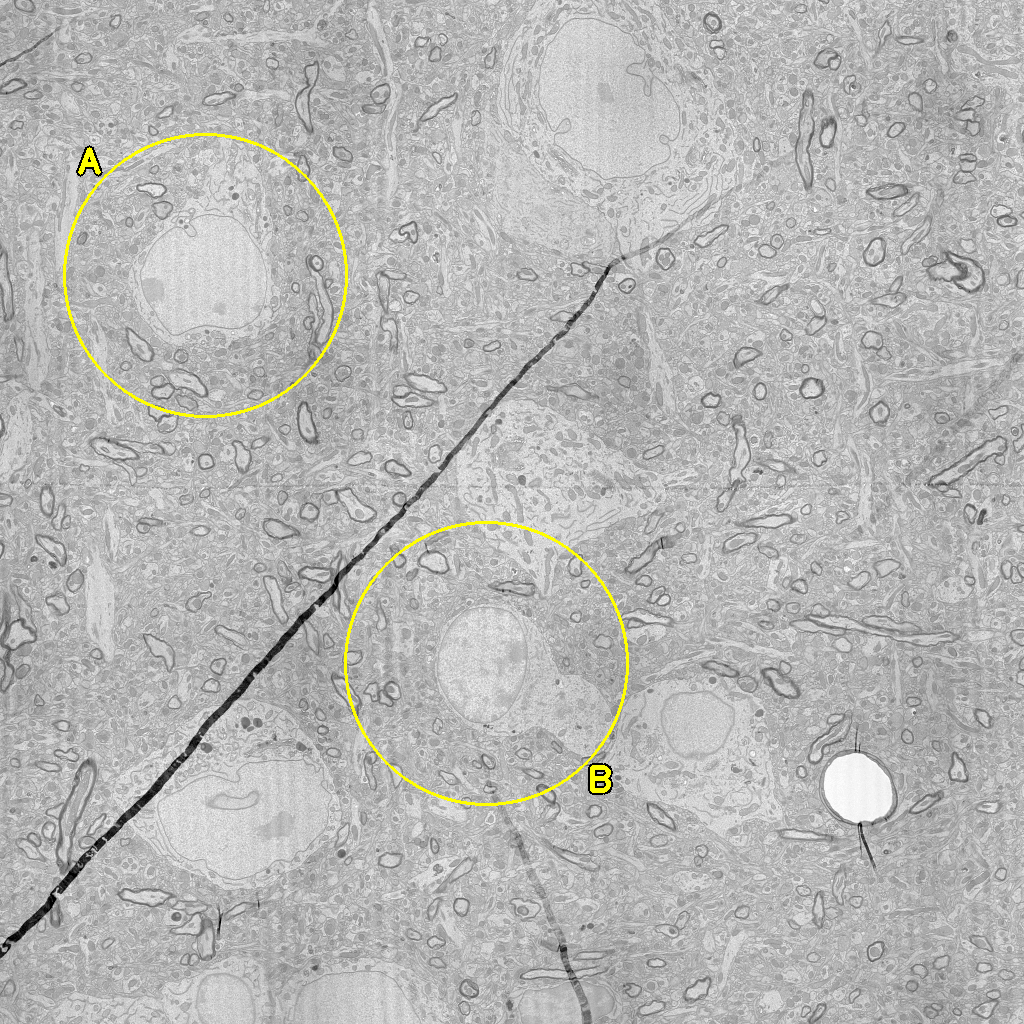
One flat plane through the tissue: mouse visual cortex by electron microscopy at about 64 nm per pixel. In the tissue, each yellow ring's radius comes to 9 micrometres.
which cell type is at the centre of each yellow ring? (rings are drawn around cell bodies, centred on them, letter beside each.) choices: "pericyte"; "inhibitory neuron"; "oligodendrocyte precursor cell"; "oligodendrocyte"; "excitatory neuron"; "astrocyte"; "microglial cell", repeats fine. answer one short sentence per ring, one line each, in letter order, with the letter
Ring A is an excitatory neuron.
Ring B is an oligodendrocyte.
